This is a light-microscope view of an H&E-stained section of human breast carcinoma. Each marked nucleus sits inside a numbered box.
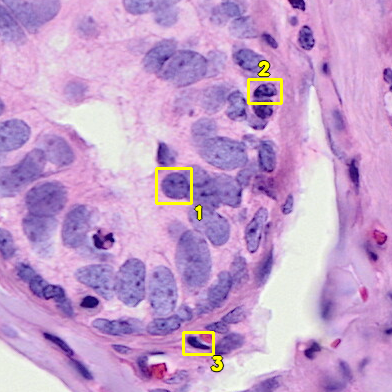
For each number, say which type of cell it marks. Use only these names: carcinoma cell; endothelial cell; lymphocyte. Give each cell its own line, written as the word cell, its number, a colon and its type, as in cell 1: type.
cell 1: carcinoma cell
cell 2: lymphocyte
cell 3: endothelial cell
